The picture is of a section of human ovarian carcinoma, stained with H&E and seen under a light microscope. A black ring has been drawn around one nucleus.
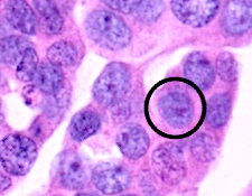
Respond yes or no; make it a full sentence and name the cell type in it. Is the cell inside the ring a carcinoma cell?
Yes, a carcinoma cell is what the cell inside the ring is in this section.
